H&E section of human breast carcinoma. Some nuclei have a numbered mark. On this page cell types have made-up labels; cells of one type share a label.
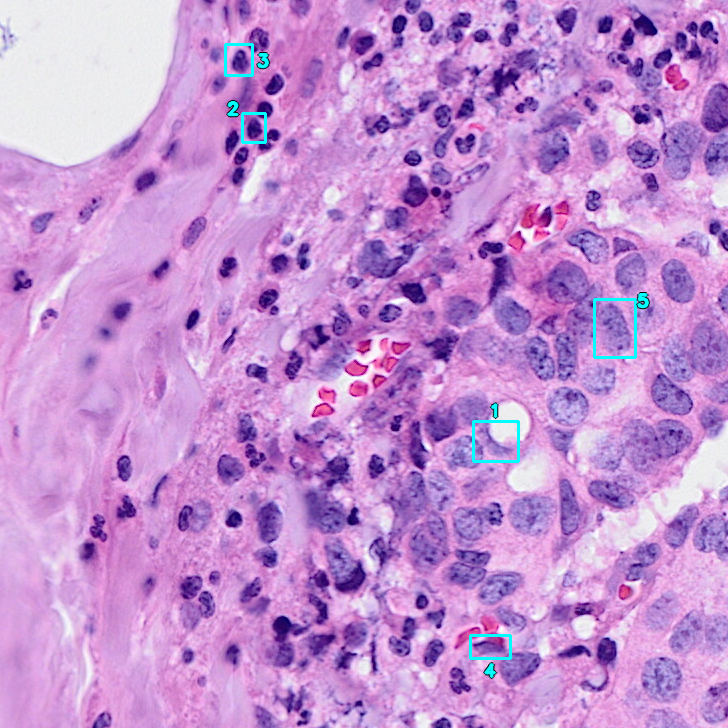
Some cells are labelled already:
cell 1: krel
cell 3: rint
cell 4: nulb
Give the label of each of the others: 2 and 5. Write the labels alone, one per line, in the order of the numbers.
rint
krel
